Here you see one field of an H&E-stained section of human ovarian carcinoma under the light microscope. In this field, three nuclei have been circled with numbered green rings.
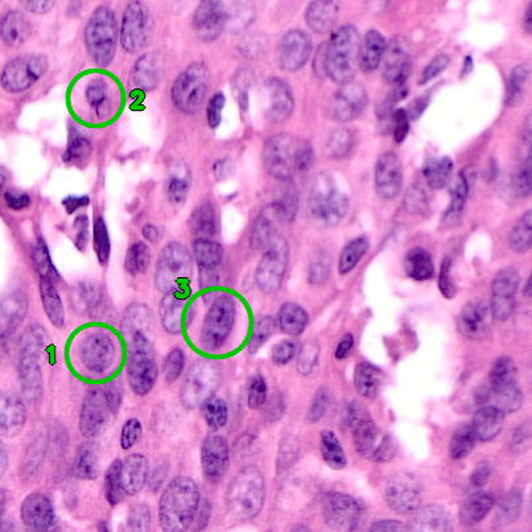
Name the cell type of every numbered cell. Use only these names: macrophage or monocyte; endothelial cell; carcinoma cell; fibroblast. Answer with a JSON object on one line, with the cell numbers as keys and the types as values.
{"1": "carcinoma cell", "2": "macrophage or monocyte", "3": "carcinoma cell"}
